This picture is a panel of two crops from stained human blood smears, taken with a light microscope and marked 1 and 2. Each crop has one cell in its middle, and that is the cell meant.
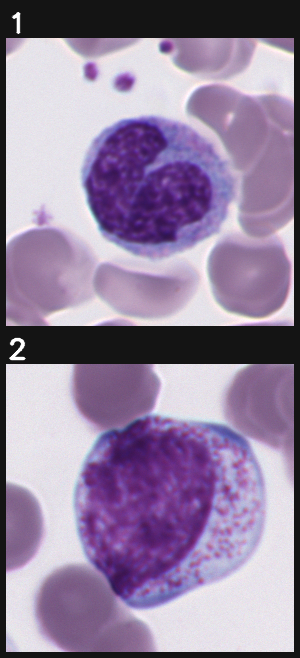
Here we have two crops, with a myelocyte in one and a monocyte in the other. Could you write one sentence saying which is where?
What crop 1 shows is a monocyte, and what crop 2 shows is a myelocyte.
